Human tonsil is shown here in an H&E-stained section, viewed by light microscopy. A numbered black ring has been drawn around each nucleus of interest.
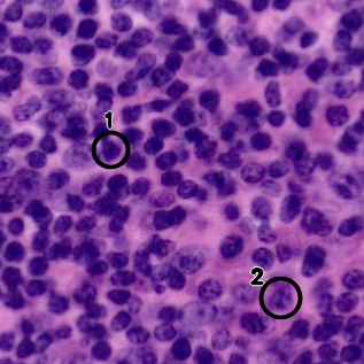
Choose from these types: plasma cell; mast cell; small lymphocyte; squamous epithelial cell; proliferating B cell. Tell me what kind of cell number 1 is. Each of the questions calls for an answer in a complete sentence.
Denoted by the label 1 in the section is a small lymphocyte.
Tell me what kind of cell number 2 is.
The cell identified by number 2 is a plasma cell.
